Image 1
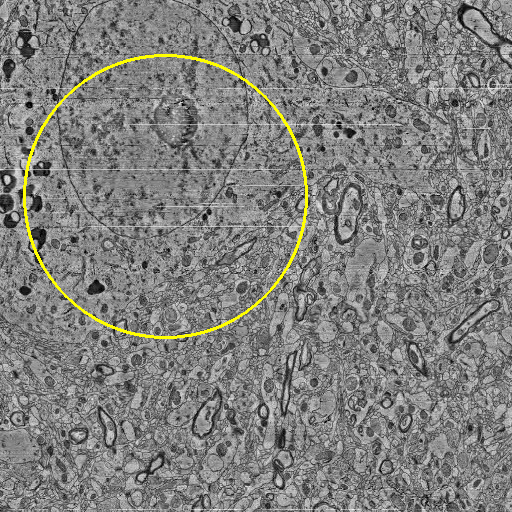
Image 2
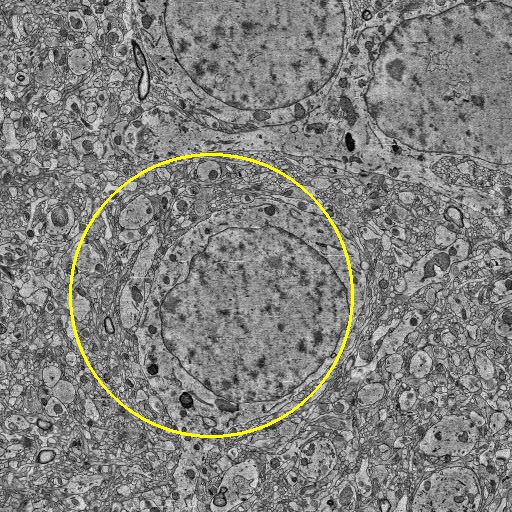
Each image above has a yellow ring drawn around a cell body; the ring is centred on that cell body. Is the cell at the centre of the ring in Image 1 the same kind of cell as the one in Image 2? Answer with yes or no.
yes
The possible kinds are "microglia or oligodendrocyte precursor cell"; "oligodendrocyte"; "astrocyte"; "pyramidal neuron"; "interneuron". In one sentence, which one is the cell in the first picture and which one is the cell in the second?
In both pictures the ring is centred on a pyramidal neuron.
